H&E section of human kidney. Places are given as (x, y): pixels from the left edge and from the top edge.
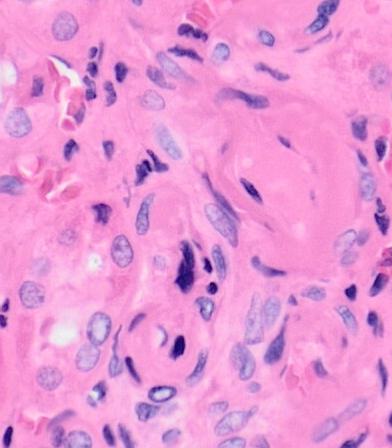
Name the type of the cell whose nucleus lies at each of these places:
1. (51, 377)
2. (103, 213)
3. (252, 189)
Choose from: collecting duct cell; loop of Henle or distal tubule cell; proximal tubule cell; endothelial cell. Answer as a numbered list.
1. proximal tubule cell
2. proximal tubule cell
3. endothelial cell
